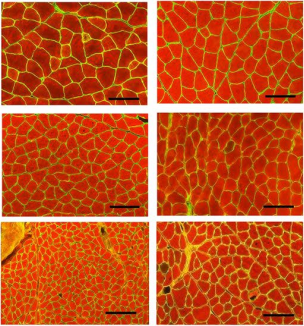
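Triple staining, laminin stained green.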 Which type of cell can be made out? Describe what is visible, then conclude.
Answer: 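Muscle fibers. Tightly packed polygonal profiles fill the images. A thin green line outlines each profile. The profiles are filled with red.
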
